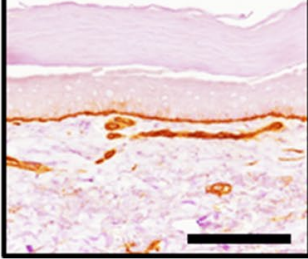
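Skin is seen with a pale pink layered cornified surface, a thin, fairly flat epidermis beneath it, and a loose pale dermis below. A thin, crisp brown line runs along the flat junction between epidermis and dermis, and small round and elongated profiles in the upper dermis are also outlined in brown. The brown line marks the basement membrane at the dermo-epidermal interface, while the outlined profiles are small dermal vessels.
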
